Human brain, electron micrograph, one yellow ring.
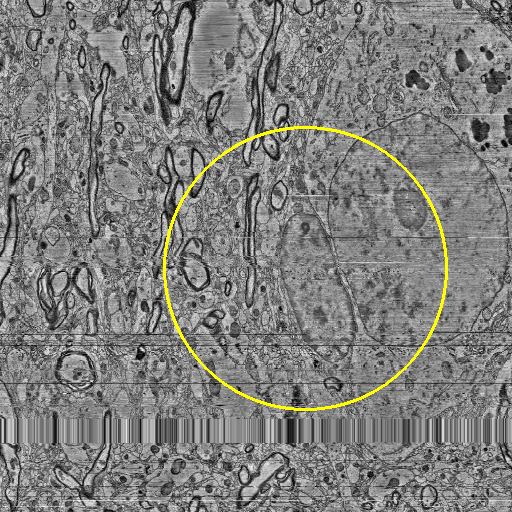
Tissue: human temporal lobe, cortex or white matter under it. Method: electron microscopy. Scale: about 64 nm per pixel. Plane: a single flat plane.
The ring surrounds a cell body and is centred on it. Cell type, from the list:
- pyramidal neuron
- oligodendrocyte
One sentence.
The yellow ring circles an oligodendrocyte.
